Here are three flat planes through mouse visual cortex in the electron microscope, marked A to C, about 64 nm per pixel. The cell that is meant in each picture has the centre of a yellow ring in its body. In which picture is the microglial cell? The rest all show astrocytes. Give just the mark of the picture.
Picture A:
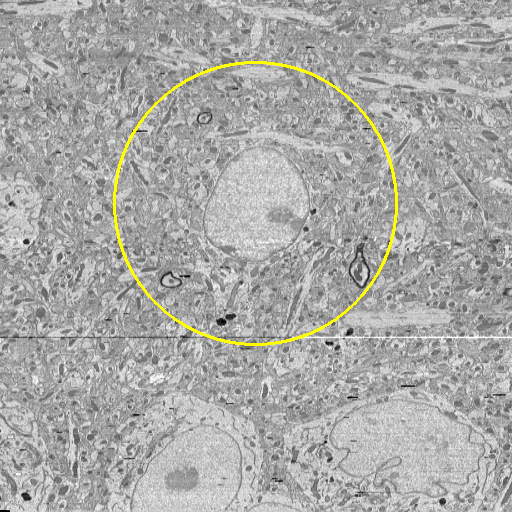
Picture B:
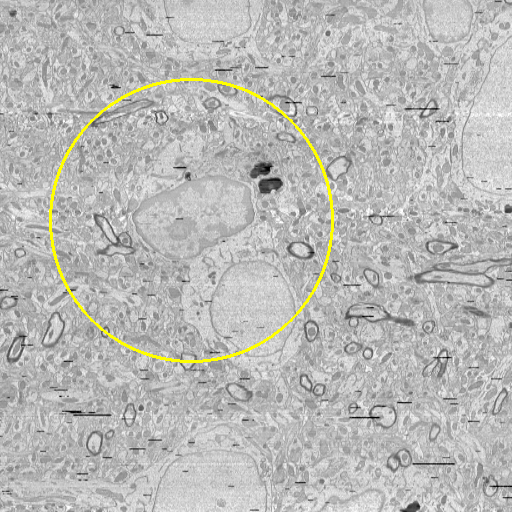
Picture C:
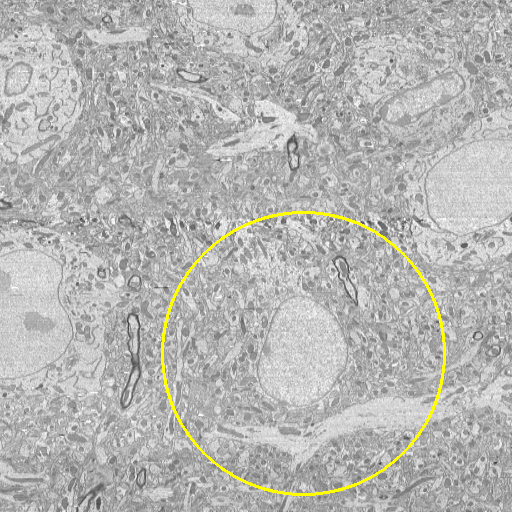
B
